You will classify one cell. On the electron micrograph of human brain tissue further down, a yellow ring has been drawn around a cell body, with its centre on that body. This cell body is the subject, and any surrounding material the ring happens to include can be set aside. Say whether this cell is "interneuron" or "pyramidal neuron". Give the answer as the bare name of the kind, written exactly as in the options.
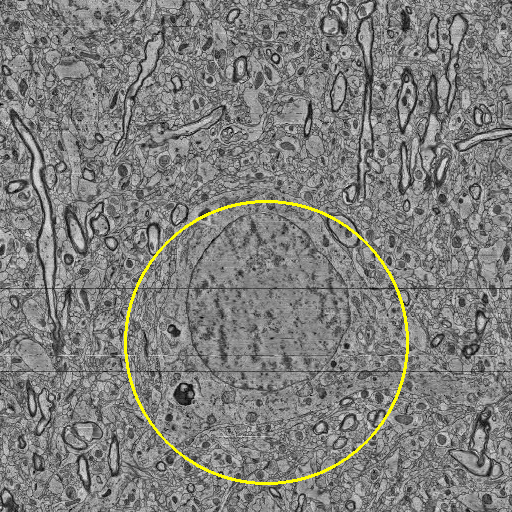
pyramidal neuron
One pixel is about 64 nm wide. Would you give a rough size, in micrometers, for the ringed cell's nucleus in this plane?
Roughly 12 micrometers across, in this plane.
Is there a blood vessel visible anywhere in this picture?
No, a blood vessel is absent from this picture.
